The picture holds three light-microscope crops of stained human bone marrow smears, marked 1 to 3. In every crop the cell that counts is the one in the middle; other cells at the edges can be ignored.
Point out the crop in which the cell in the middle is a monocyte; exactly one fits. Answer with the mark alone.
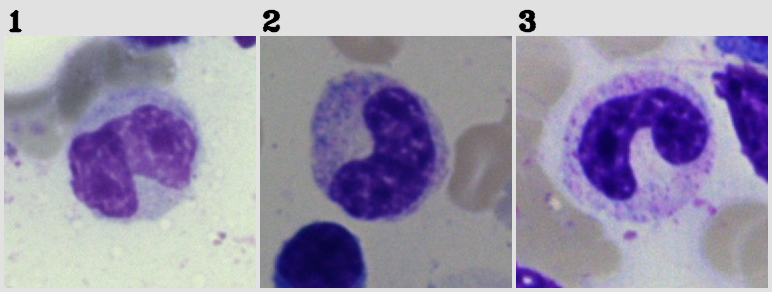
1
